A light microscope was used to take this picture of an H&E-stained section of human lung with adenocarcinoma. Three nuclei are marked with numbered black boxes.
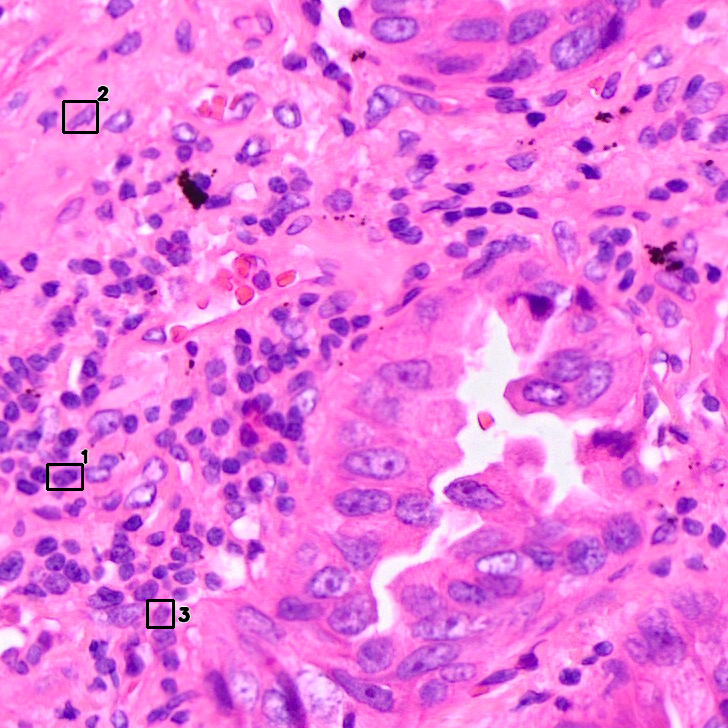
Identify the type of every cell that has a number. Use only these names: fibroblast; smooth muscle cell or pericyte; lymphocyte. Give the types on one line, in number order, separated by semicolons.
lymphocyte; fibroblast; lymphocyte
